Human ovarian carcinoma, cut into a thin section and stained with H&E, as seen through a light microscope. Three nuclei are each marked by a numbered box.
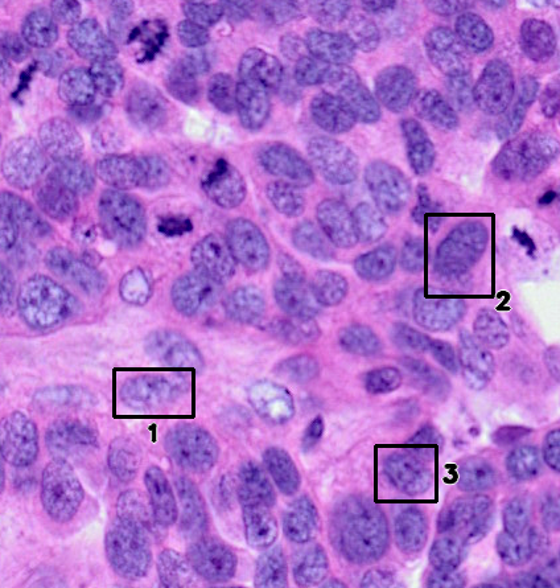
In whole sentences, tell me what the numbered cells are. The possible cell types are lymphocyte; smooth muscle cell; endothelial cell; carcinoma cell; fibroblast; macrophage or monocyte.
Cell 1 is a fibroblast, cell 2 is a carcinoma cell and cell 3 is a carcinoma cell.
